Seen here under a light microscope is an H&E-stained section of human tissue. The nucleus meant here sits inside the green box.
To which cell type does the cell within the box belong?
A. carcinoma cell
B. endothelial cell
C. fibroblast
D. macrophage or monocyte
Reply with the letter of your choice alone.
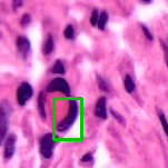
B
